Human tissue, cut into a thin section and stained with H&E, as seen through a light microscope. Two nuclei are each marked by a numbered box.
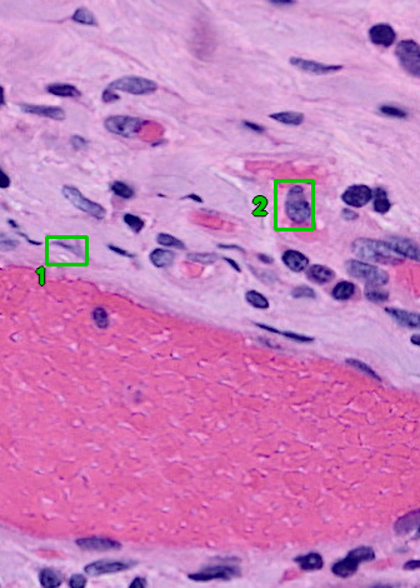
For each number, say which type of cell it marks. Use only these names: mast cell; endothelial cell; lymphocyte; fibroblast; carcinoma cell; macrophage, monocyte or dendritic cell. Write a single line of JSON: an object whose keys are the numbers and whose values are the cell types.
{"1": "fibroblast", "2": "endothelial cell"}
